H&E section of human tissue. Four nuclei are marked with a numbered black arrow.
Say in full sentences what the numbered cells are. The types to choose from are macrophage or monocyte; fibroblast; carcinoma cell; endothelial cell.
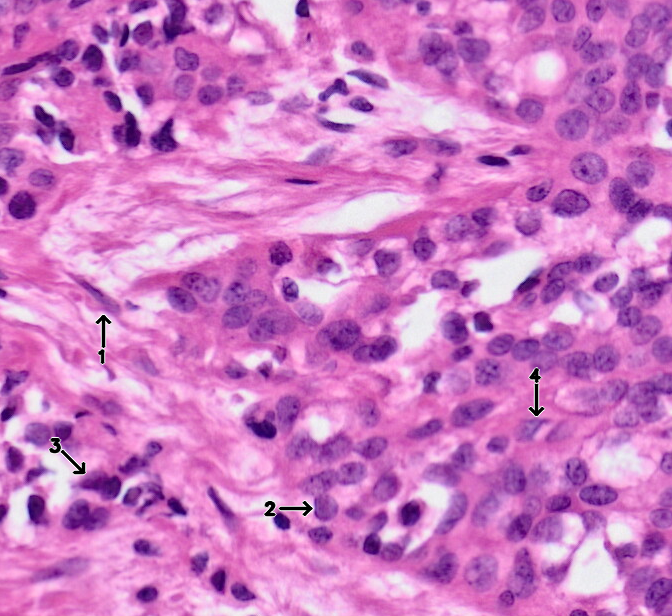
Cell 1 is a fibroblast. Cells 2 and 3 are carcinoma cells. Cell 4 is an endothelial cell.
